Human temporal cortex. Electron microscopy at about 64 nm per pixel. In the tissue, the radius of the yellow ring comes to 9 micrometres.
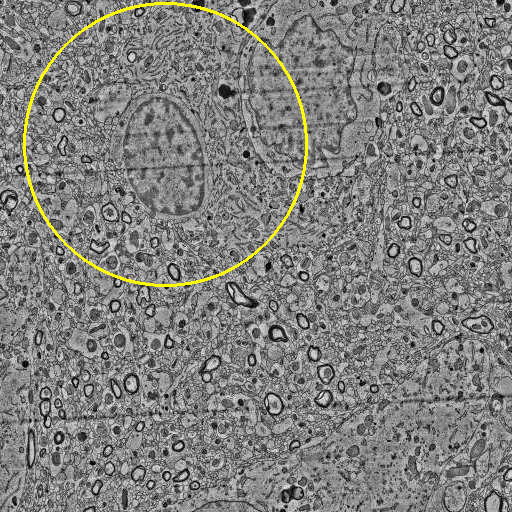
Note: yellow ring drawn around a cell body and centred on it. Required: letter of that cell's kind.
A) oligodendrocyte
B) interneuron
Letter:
A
